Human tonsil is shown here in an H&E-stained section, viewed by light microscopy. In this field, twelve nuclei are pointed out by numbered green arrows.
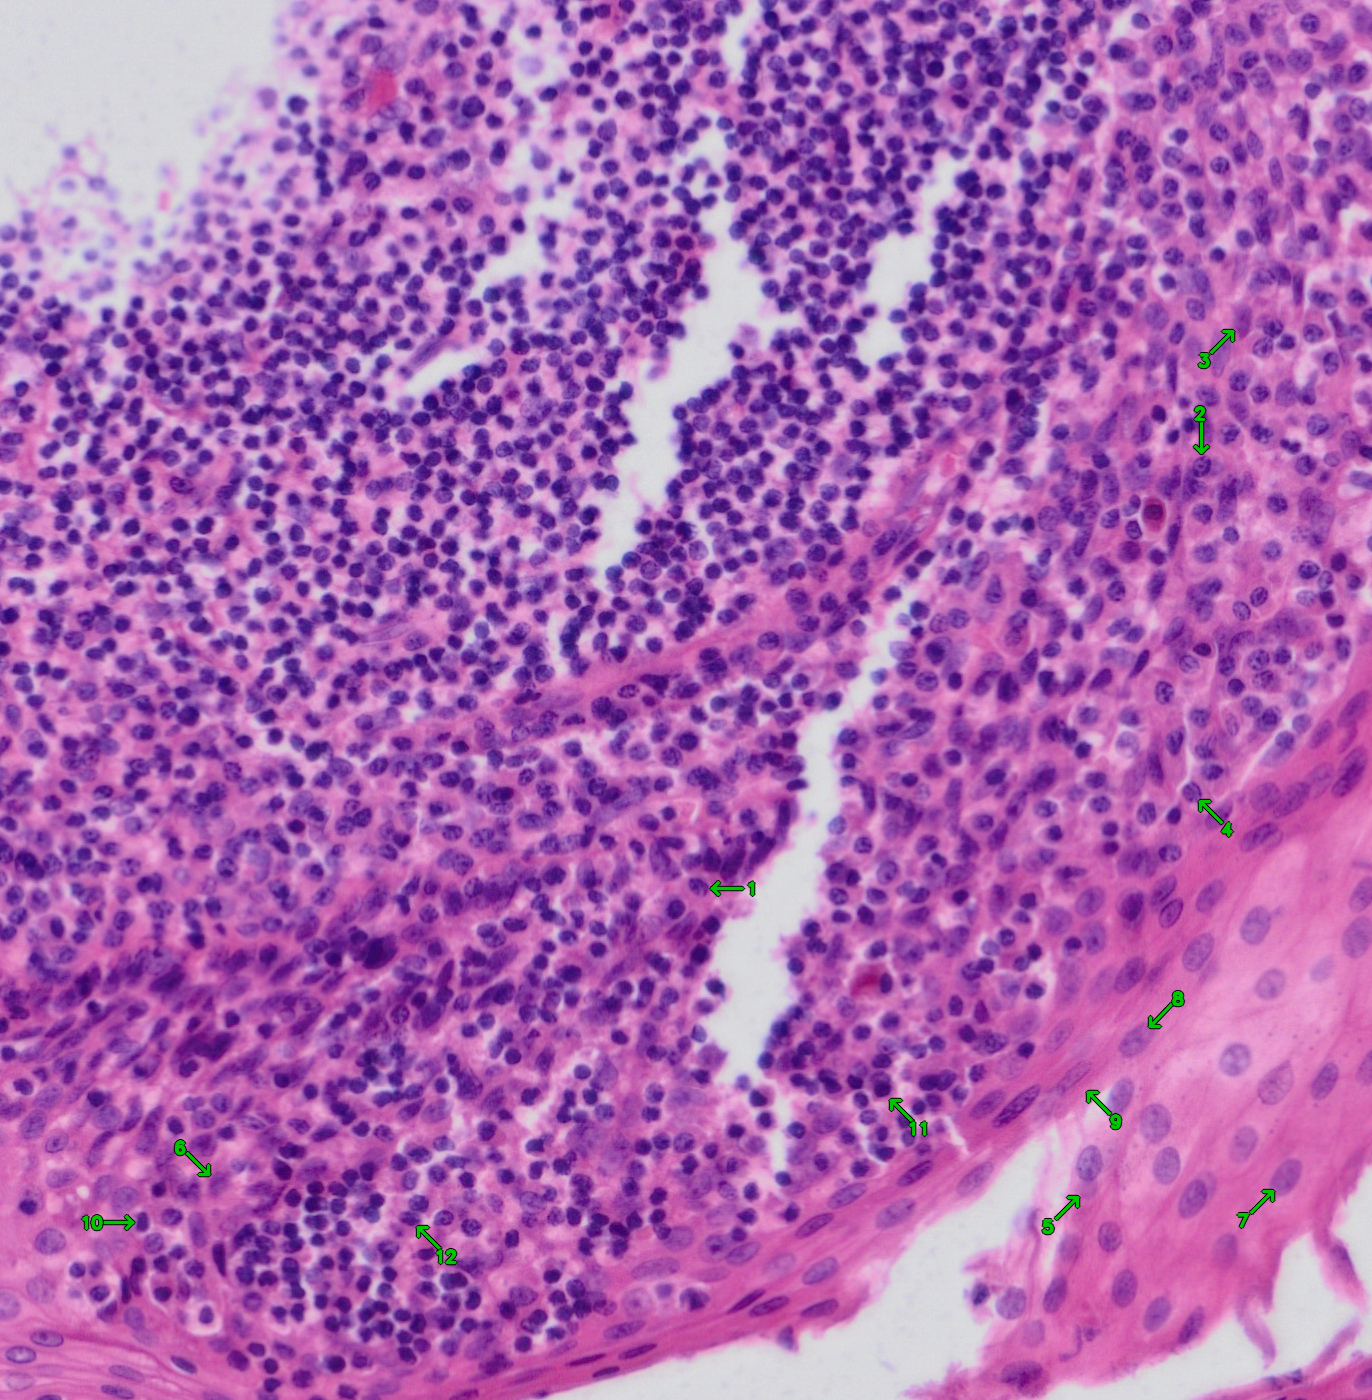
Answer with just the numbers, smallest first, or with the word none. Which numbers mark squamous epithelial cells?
3, 5, 6, 7, 8, 9, 10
